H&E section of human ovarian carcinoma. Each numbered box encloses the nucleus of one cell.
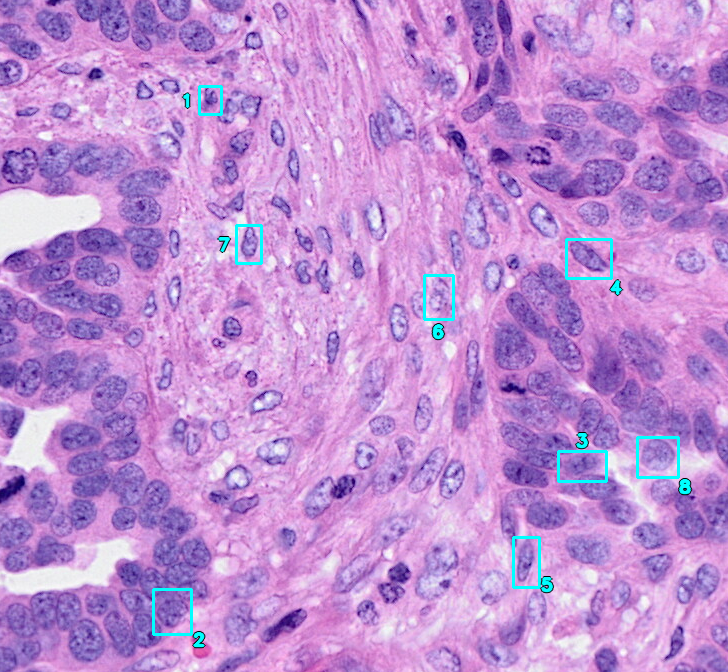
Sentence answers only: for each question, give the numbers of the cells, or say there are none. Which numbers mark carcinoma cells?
The cells given the numbers 2, 3 and 8 are carcinoma cells.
